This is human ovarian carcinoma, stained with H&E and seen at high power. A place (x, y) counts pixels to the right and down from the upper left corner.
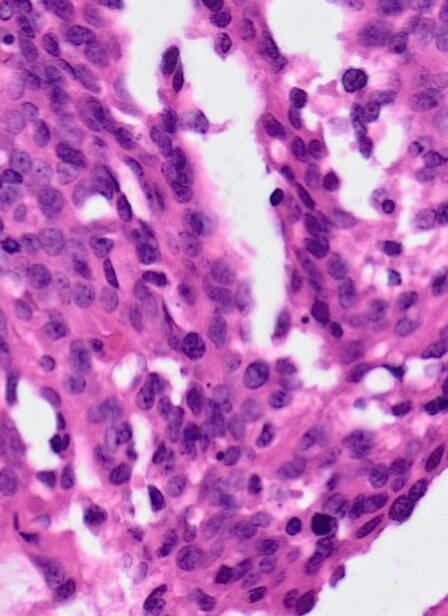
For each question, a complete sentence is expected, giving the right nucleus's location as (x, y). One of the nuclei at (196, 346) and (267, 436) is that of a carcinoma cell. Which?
Lying within a carcinoma cell is the nucleus at (196, 346).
